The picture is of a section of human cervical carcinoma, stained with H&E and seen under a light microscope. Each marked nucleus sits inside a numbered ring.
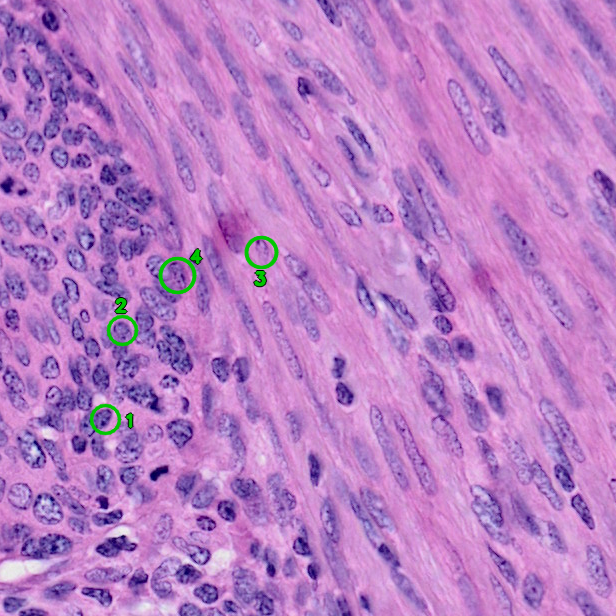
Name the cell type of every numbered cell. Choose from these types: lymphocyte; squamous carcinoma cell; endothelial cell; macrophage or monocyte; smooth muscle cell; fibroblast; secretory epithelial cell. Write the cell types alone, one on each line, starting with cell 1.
squamous carcinoma cell
squamous carcinoma cell
smooth muscle cell
squamous carcinoma cell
